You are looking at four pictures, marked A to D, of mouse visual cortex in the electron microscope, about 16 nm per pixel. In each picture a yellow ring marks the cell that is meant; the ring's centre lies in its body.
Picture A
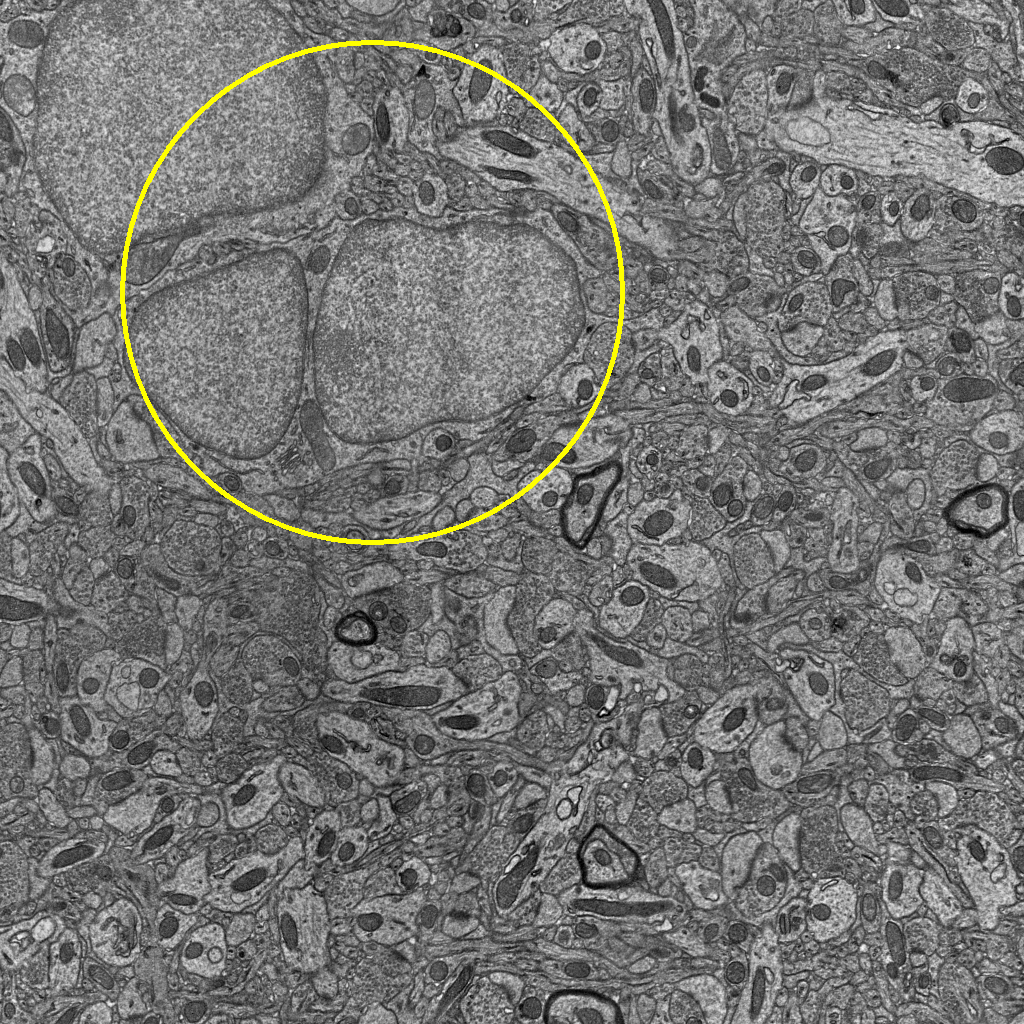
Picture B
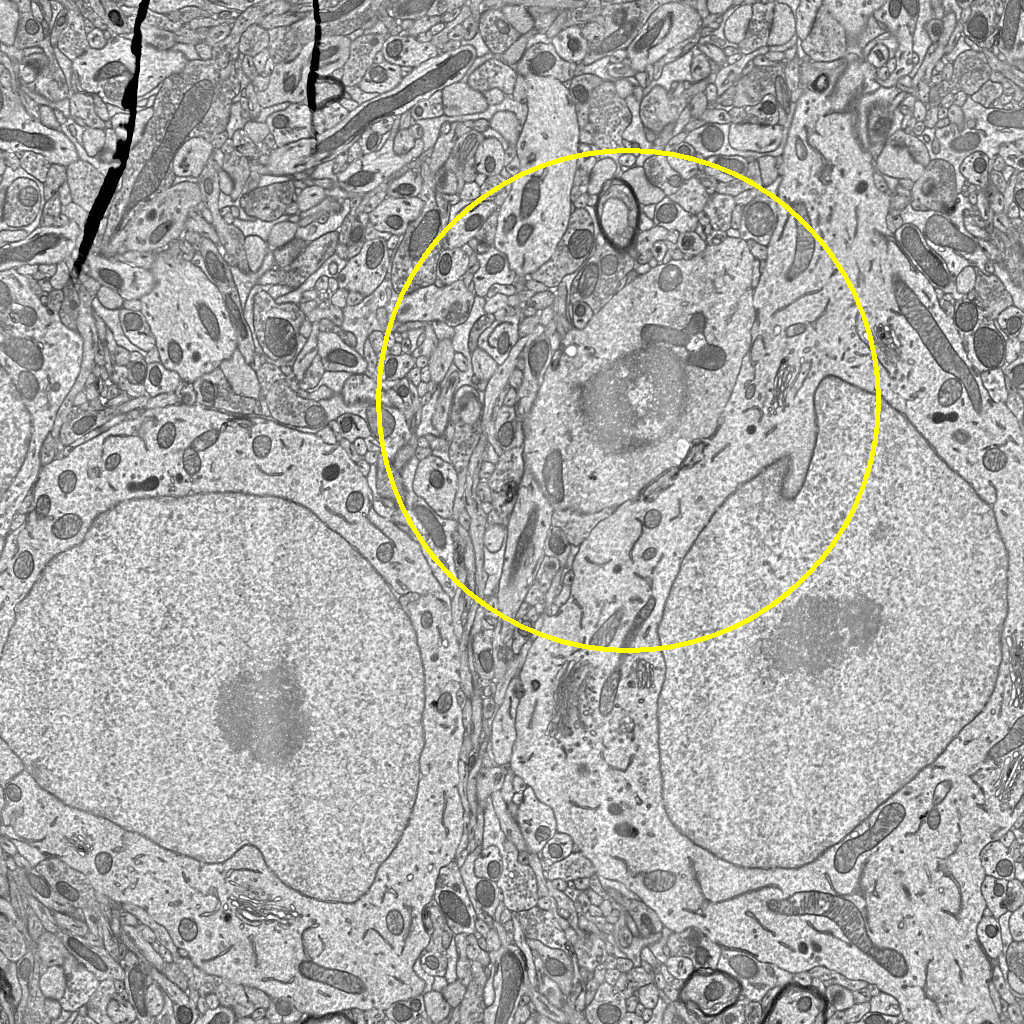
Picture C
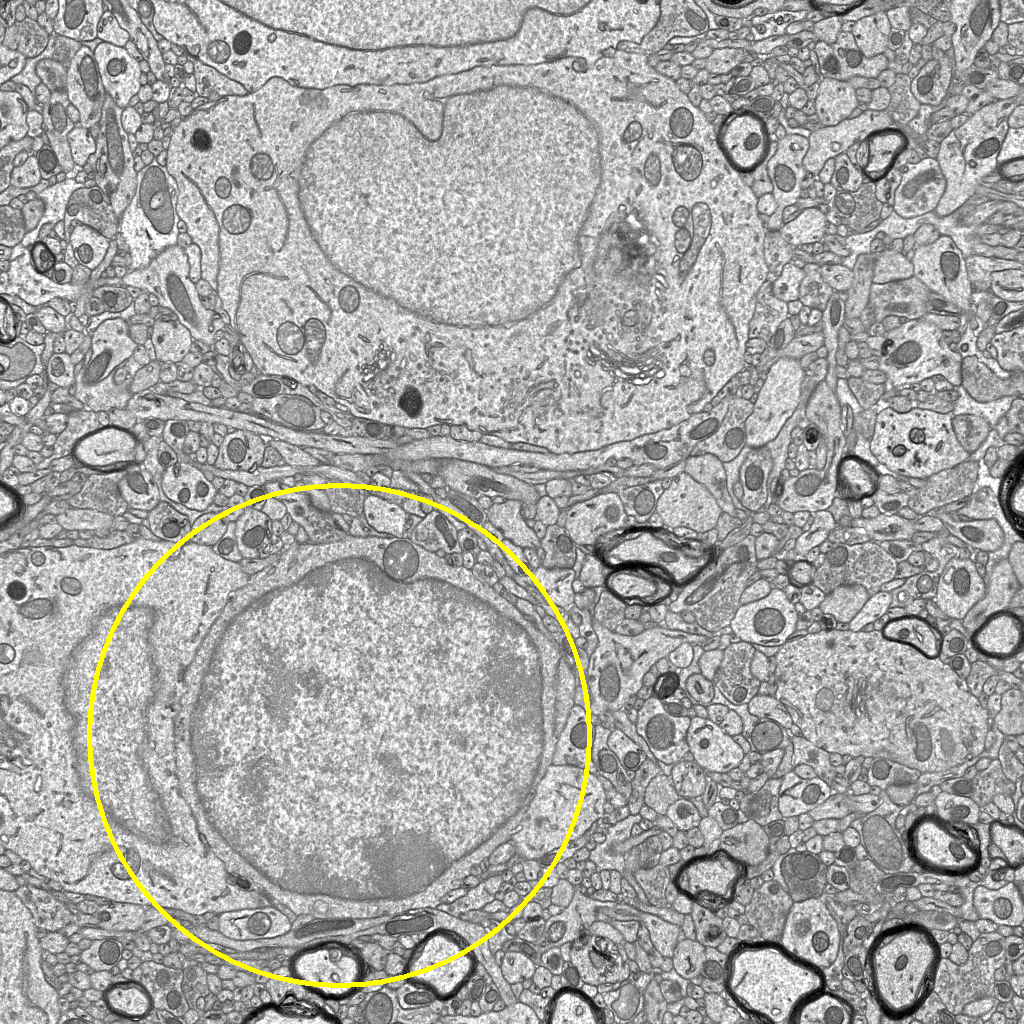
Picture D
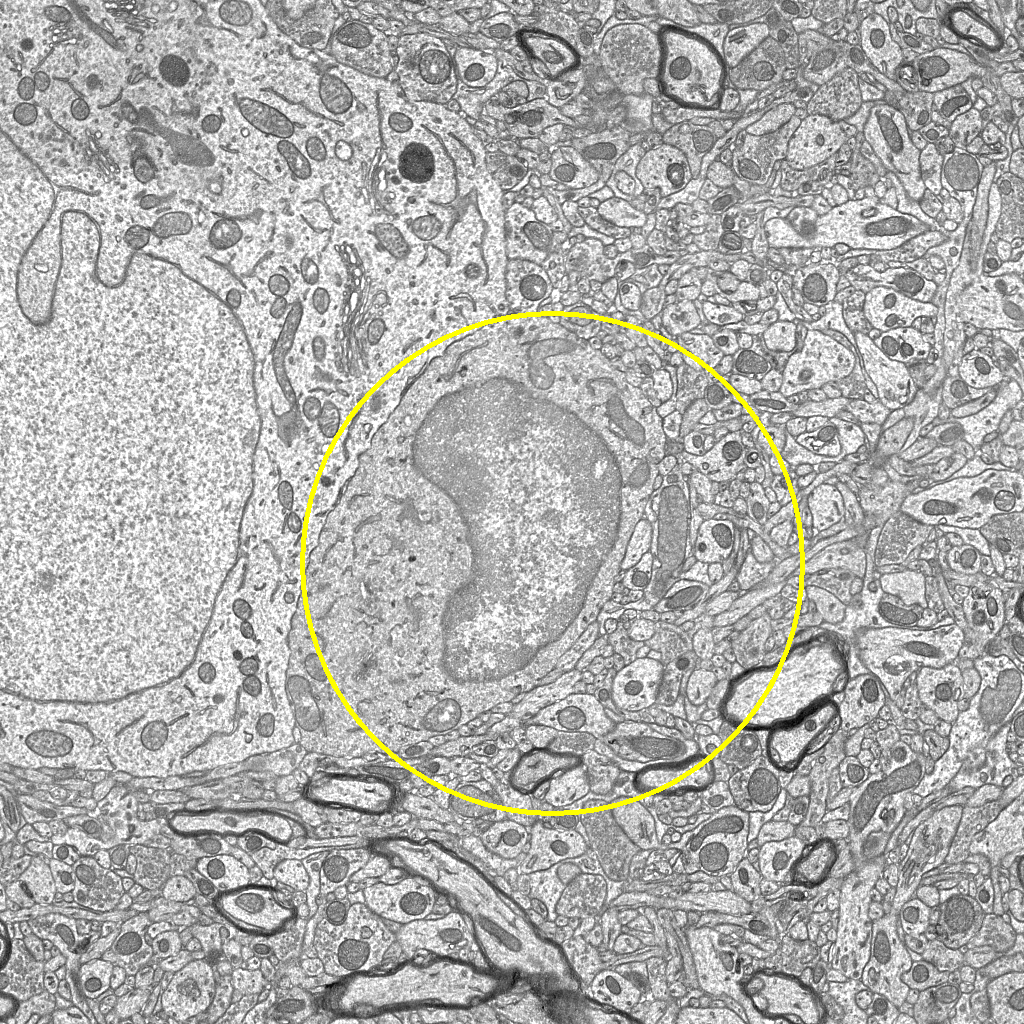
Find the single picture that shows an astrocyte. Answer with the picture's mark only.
A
